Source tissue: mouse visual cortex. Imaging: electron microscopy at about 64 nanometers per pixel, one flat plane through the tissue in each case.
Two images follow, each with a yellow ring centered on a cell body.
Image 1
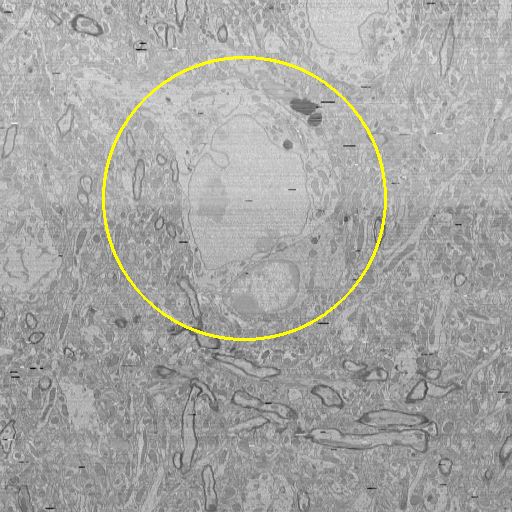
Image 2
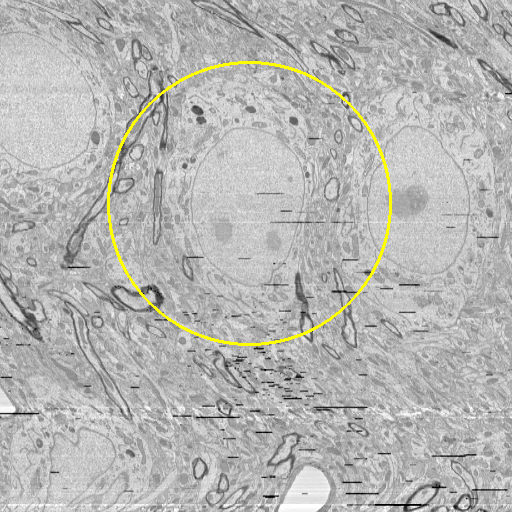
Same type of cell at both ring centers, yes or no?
yes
